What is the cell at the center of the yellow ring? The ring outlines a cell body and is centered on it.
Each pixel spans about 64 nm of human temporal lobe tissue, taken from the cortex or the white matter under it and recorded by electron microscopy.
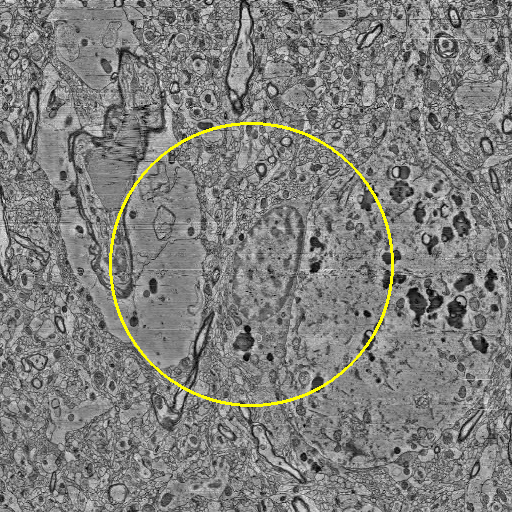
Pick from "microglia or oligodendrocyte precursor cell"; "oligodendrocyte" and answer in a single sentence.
The yellow ring is centered on an oligodendrocyte.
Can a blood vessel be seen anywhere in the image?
Yes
